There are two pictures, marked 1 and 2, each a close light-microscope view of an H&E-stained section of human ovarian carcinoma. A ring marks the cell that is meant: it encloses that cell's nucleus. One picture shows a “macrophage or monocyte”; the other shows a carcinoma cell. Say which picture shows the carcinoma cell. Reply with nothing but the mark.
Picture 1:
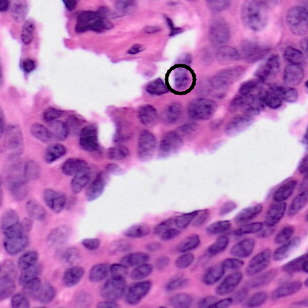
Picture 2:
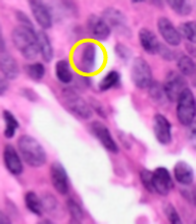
2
